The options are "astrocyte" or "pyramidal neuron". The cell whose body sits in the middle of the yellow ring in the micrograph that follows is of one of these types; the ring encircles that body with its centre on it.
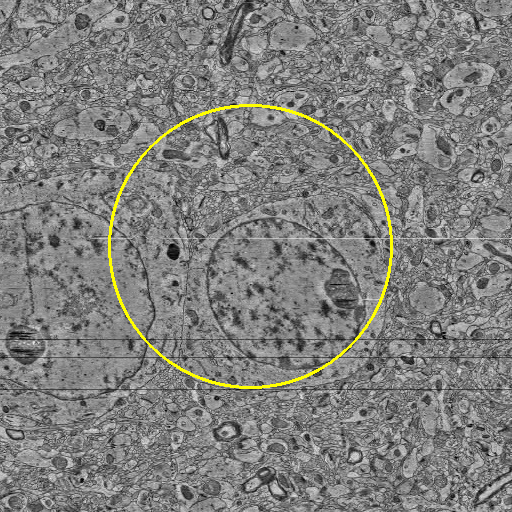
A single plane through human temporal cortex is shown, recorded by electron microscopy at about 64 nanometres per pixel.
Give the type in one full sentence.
Going by the micrograph, the cell centred in the yellow ring is a pyramidal neuron.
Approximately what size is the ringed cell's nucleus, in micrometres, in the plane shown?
In this plane the nucleus is about 11 micrometres by 9.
